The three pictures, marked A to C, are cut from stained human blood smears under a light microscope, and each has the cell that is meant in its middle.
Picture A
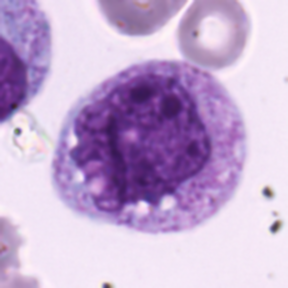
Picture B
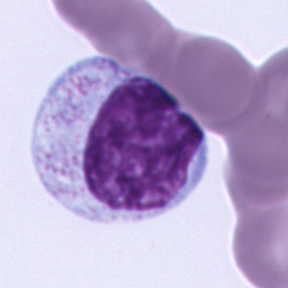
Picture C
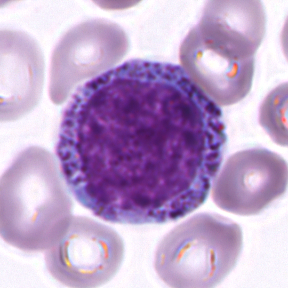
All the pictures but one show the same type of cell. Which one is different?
C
